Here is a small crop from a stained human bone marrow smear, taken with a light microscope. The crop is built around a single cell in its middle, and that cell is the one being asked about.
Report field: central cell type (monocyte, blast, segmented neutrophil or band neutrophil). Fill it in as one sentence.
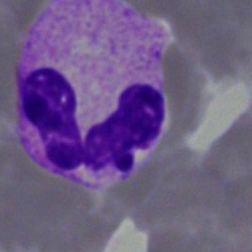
In the middle of this smear crop, the cell is a segmented neutrophil.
